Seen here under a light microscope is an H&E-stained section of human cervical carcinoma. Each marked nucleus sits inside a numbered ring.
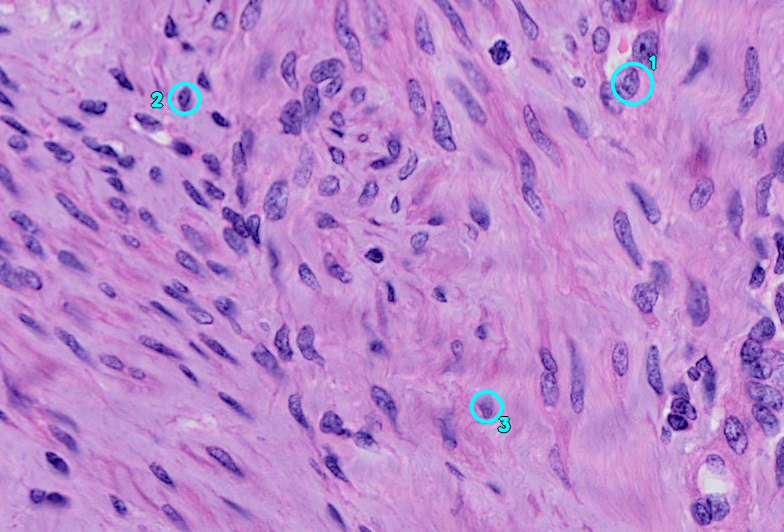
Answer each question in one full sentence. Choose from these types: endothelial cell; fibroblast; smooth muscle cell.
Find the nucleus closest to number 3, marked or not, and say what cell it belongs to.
The nearest nucleus to number 3 belongs to a smooth muscle cell.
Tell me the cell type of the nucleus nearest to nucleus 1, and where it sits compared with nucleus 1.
The closest nucleus belongs to an endothelial cell and sits below and to the left of nucleus 1.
